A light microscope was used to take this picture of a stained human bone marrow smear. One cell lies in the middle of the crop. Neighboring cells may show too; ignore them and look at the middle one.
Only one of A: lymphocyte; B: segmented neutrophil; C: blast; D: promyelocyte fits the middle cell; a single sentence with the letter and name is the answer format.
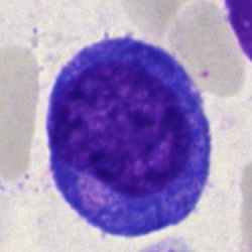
The central cell in this crop is a promyelocyte, corresponding to option D, the correct option.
